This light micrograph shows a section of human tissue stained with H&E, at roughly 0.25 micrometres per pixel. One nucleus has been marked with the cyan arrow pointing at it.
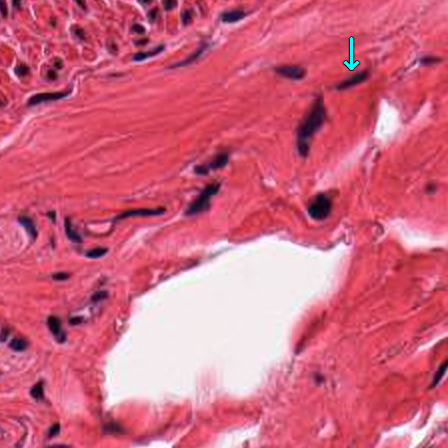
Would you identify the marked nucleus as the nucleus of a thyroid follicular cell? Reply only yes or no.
no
